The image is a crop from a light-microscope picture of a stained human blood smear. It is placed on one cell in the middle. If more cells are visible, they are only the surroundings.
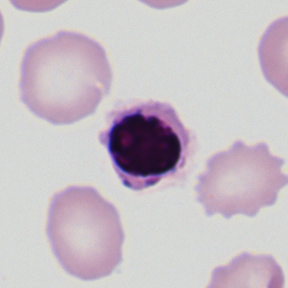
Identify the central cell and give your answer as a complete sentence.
The centrally positioned cell in the crop represents a normoblast.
